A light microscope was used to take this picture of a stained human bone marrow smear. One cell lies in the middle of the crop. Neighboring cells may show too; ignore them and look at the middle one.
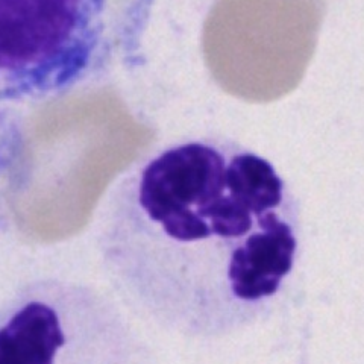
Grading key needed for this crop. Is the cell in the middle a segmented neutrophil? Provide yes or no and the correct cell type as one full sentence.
Yes, the cell at the midpoint of the crop is a segmented neutrophil.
